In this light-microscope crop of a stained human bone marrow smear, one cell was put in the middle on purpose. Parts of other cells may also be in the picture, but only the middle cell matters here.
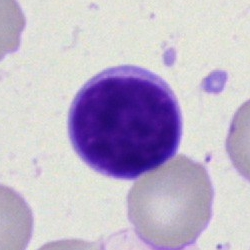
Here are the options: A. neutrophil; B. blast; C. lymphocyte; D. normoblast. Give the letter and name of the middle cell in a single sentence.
The centered cell is a lymphocyte, which is why option C is right.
